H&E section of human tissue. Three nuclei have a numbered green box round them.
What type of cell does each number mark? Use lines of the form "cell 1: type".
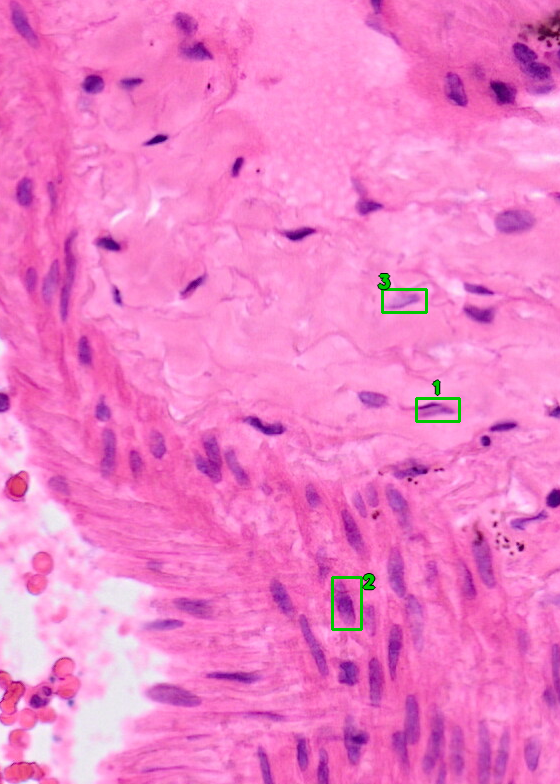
cell 1: fibroblast
cell 2: smooth muscle cell or pericyte
cell 3: fibroblast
